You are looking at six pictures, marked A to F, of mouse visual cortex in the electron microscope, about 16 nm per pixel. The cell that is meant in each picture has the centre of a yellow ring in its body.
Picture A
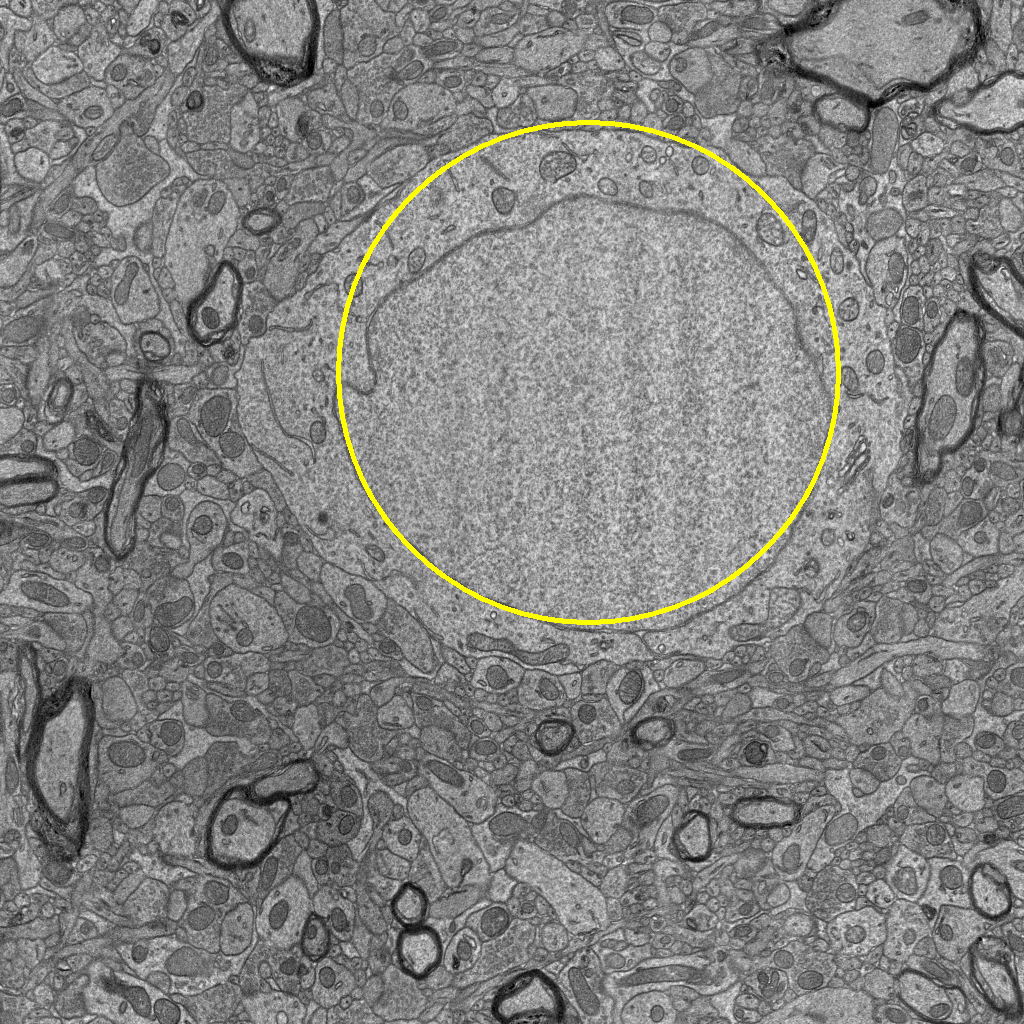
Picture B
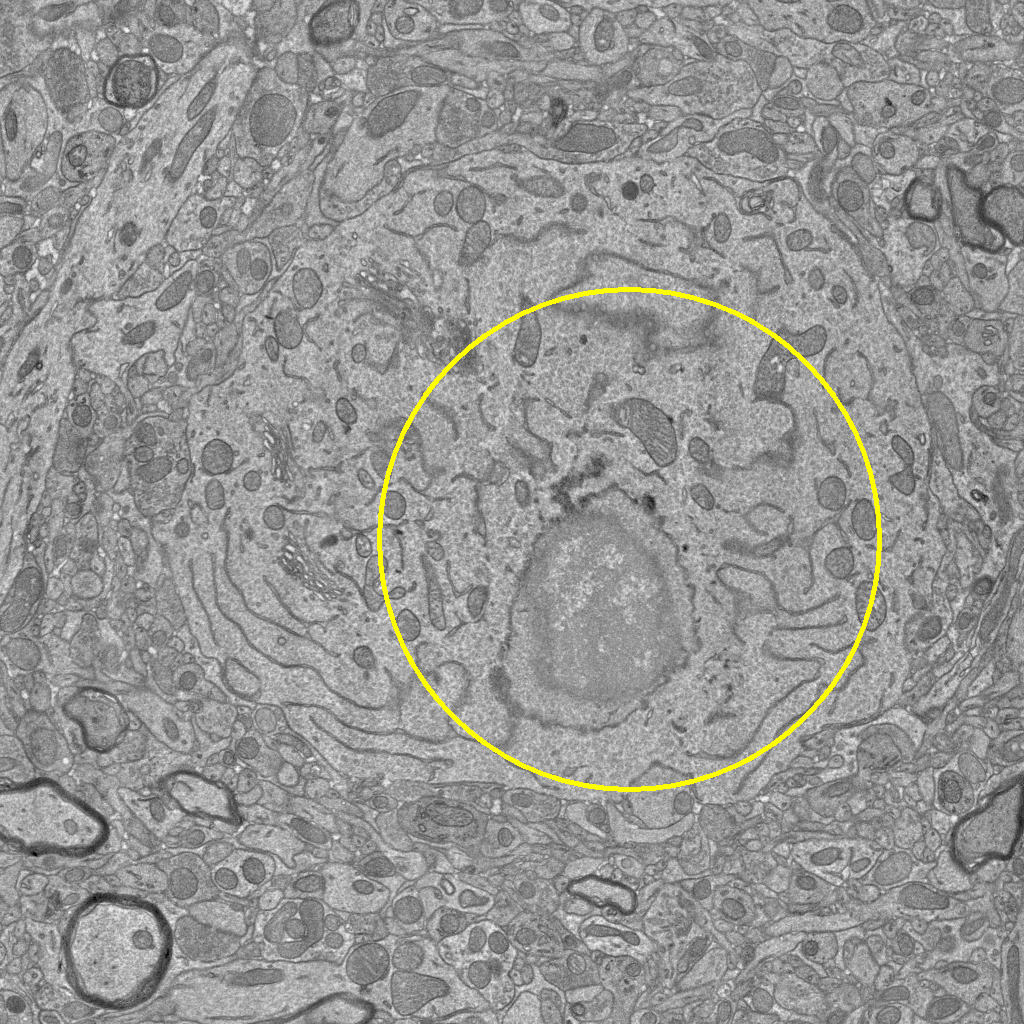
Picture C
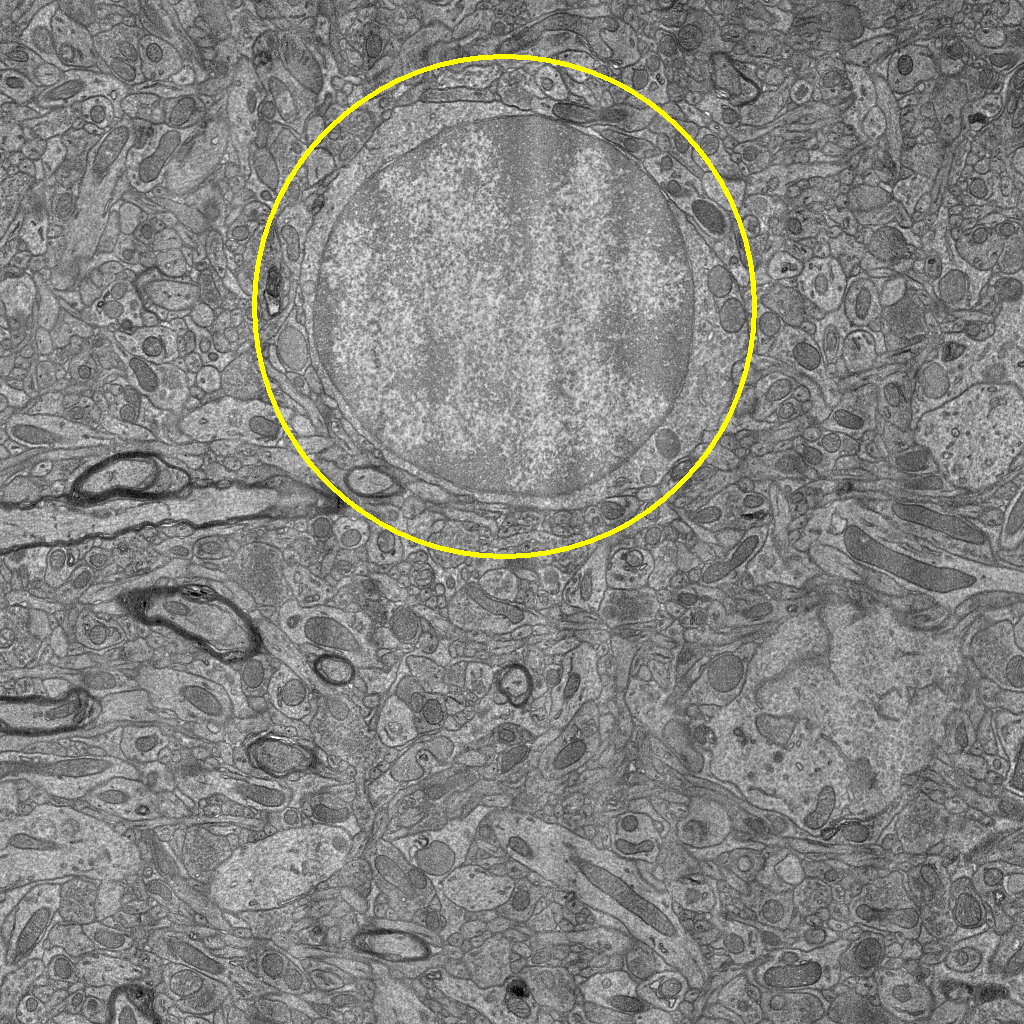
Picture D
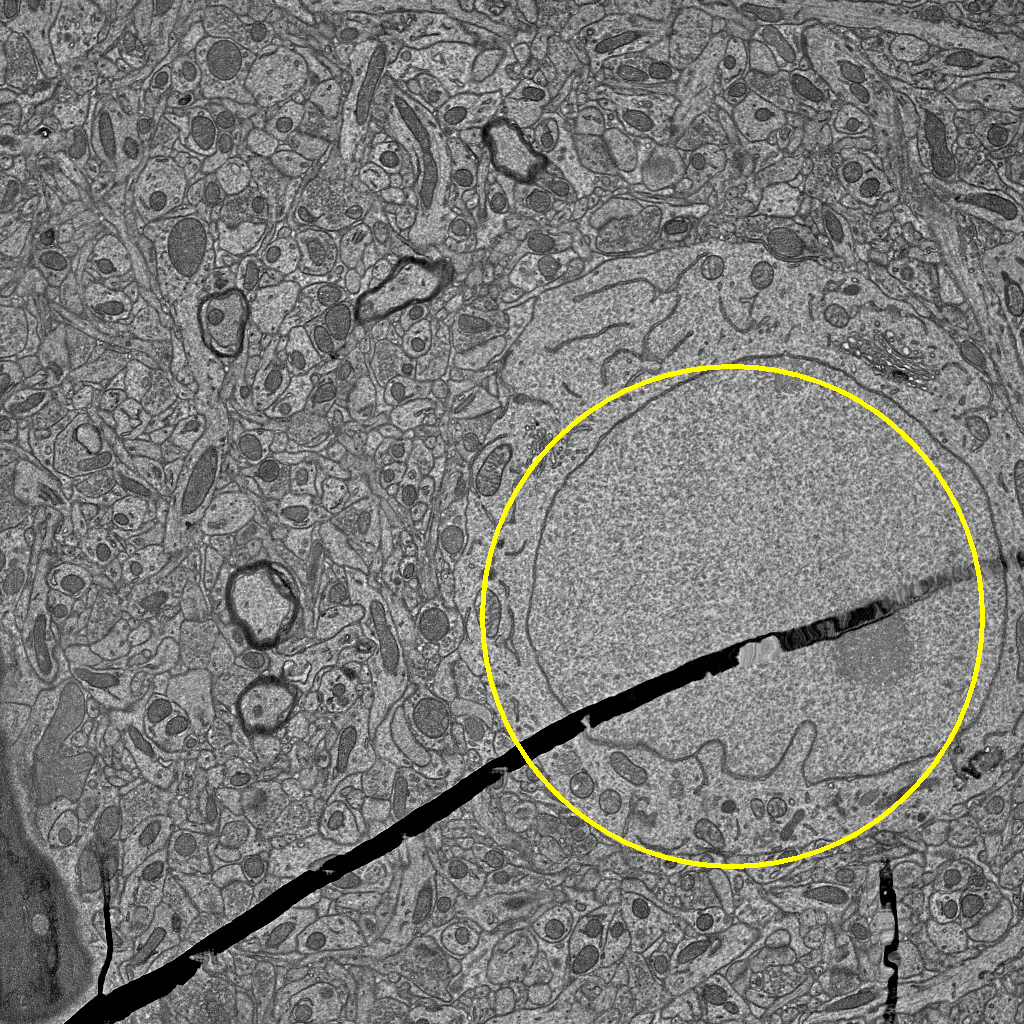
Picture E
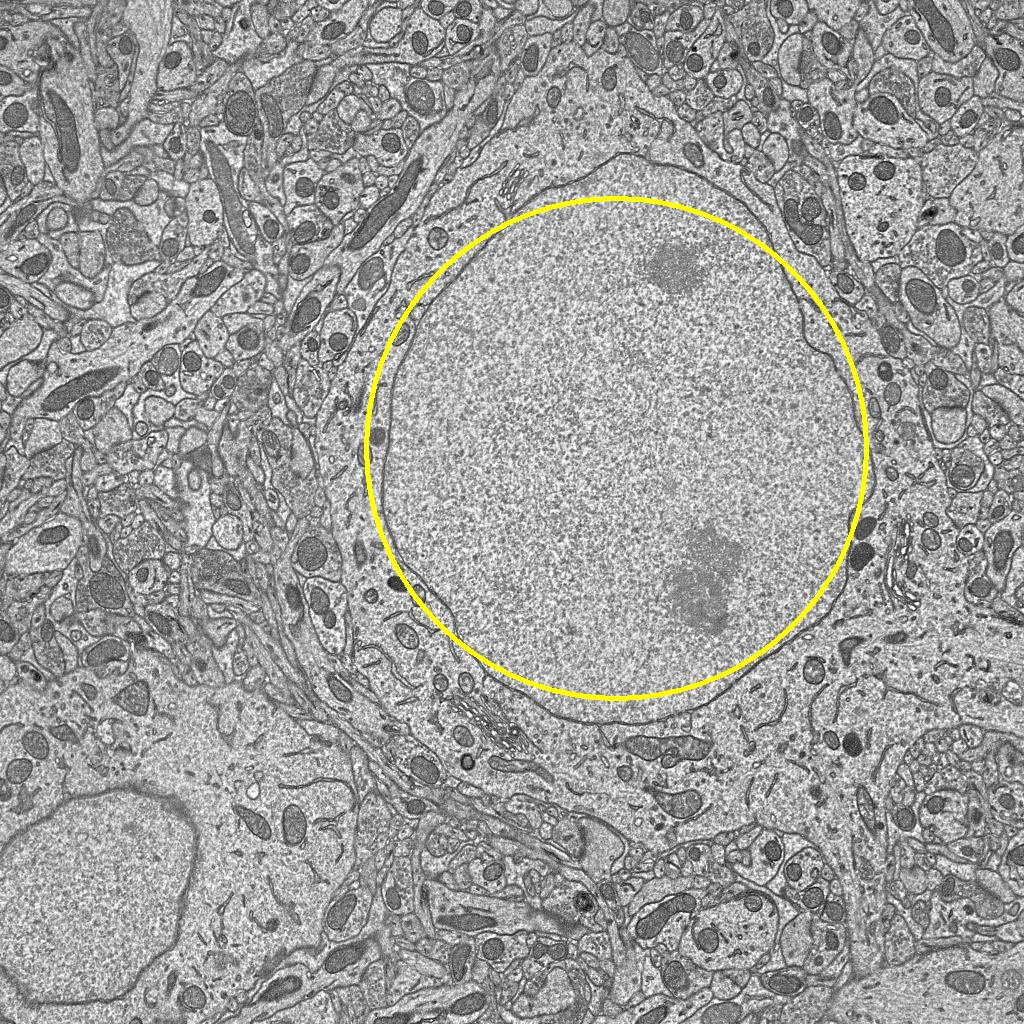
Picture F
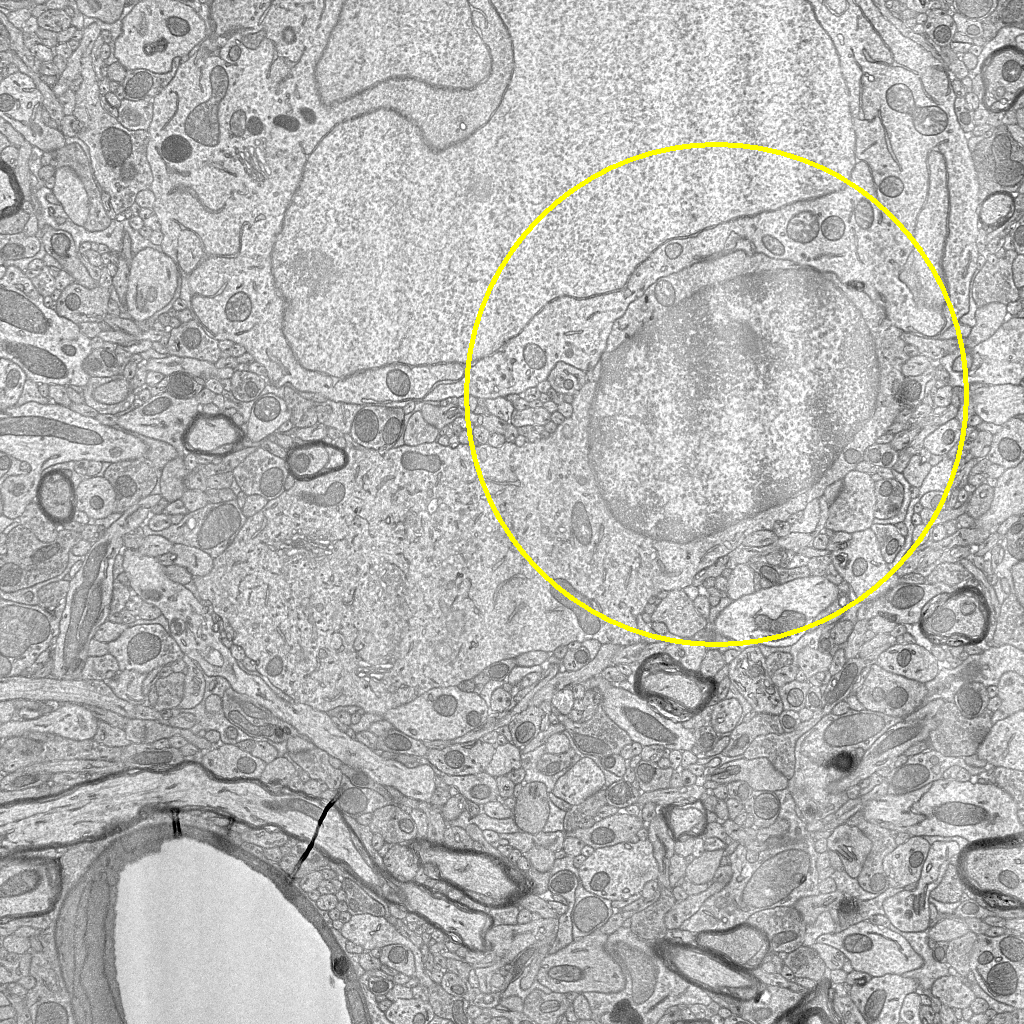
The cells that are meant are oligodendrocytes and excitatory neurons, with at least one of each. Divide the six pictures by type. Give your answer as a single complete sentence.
Pictures B, C and F show oligodendrocytes, while pictures A, D and E show excitatory neurons.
